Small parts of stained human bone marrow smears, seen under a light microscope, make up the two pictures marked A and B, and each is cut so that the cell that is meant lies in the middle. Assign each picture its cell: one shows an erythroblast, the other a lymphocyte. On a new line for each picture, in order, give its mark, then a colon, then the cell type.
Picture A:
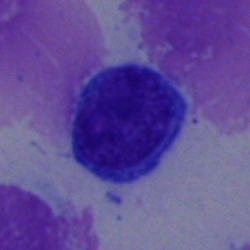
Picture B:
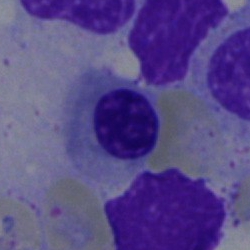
A: lymphocyte
B: erythroblast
